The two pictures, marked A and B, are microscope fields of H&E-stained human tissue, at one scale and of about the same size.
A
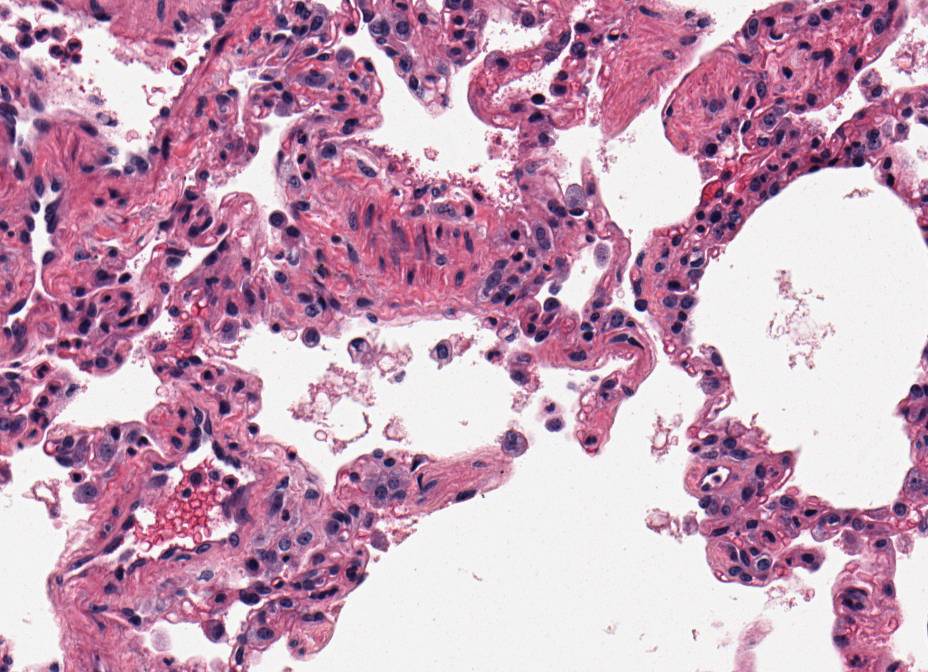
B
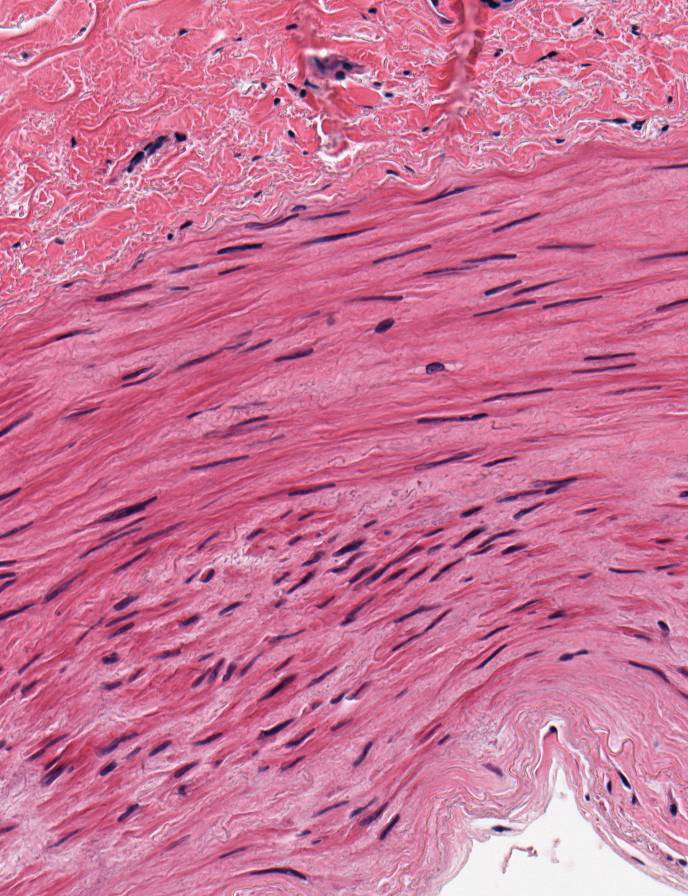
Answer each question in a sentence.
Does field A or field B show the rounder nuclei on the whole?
The nuclei are rounder in field A.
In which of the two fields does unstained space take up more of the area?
Field A has more white space.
